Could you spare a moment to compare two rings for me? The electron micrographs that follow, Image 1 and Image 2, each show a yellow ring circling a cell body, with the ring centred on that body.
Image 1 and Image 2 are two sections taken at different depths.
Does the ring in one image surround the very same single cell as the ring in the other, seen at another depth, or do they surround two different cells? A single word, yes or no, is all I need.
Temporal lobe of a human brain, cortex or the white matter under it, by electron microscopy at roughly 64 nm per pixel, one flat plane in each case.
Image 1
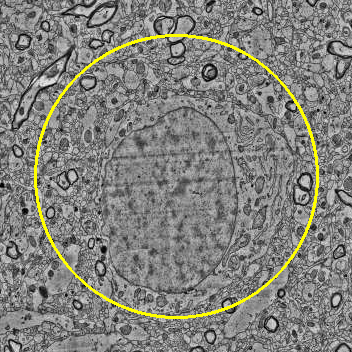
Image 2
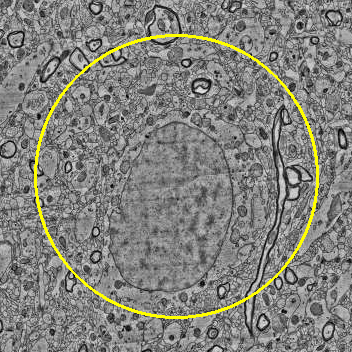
yes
